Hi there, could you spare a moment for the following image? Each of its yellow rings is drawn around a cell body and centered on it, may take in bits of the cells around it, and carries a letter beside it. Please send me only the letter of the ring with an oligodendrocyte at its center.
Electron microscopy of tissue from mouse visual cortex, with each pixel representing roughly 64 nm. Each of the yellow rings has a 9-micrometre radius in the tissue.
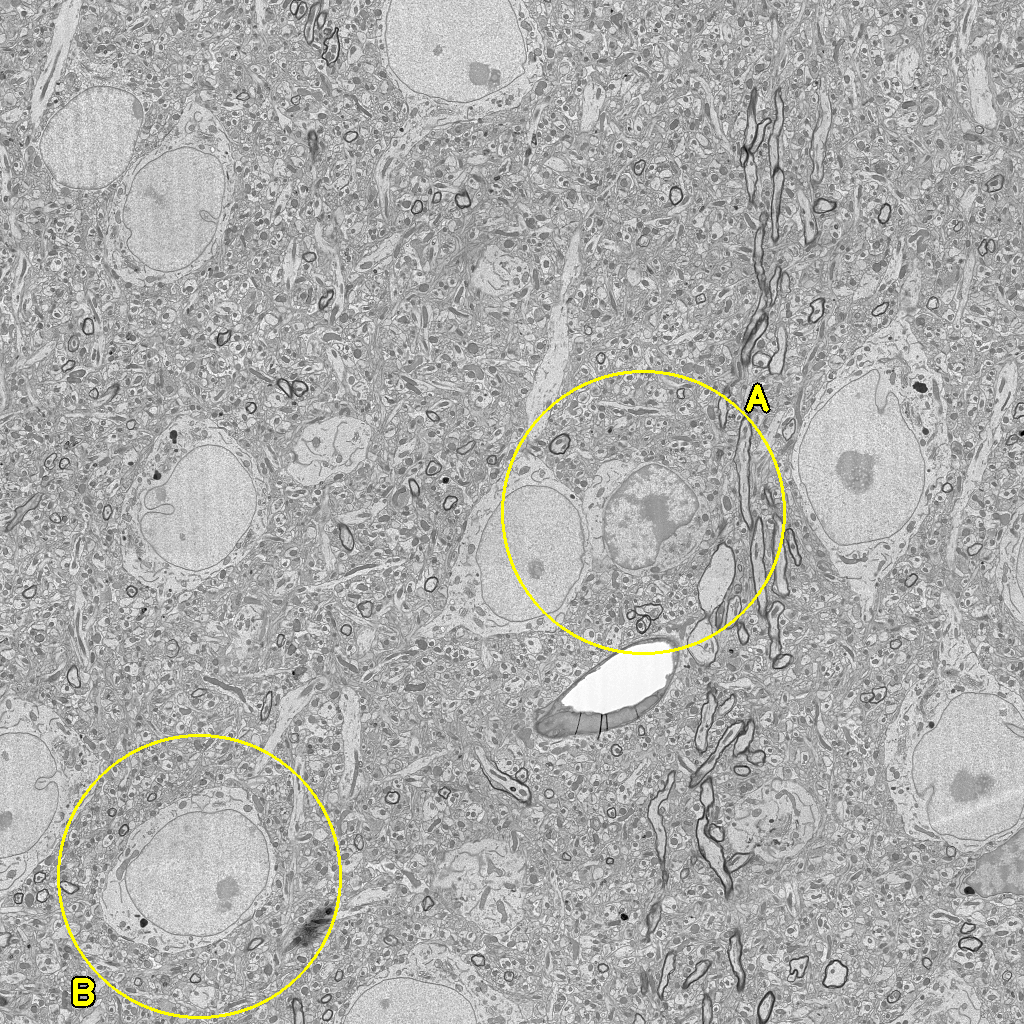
A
